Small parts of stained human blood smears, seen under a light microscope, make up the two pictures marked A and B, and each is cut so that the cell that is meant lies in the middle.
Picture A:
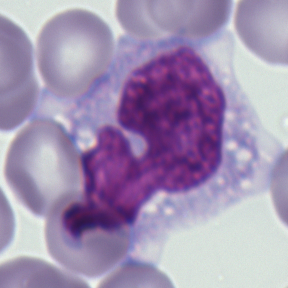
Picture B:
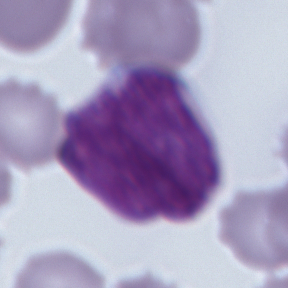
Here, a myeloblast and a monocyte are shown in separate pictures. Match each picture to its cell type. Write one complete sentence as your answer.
In picture A the cell is a monocyte; in picture B, a myeloblast.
